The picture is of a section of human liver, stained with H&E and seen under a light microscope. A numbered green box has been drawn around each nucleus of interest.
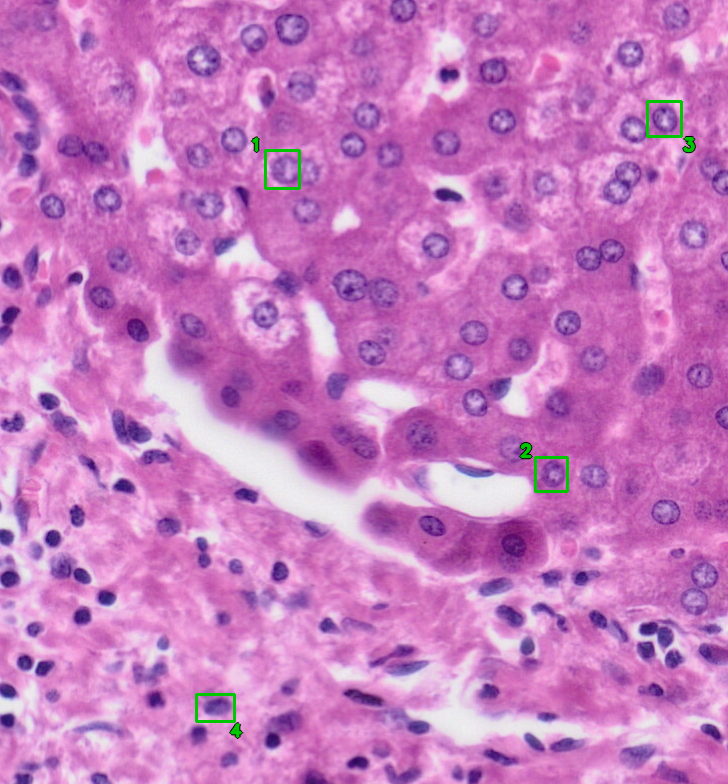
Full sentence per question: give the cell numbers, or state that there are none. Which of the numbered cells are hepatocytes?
The cells that have been numbered 1, 2 and 3 are hepatocytes.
